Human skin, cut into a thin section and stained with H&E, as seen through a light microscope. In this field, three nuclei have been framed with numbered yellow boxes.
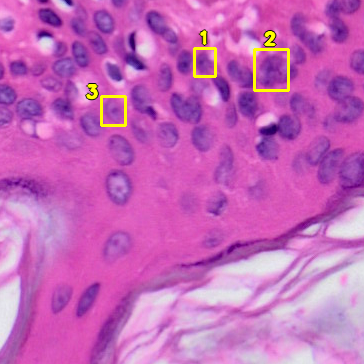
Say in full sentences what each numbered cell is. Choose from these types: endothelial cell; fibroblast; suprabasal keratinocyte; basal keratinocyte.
Cell 1 is a basal keratinocyte, cell 2 is a basal keratinocyte and cell 3 is a suprabasal keratinocyte.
